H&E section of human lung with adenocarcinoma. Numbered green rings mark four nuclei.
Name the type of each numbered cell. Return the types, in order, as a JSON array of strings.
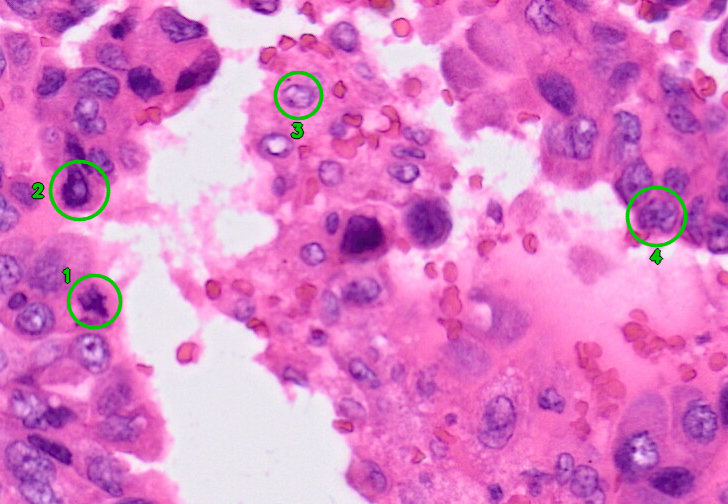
["carcinoma cell", "carcinoma cell", "macrophage or monocyte", "carcinoma cell"]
